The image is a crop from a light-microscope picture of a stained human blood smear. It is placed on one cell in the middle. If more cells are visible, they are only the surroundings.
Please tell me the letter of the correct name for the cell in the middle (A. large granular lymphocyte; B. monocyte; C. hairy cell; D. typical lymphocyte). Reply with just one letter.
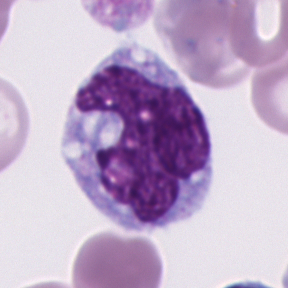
B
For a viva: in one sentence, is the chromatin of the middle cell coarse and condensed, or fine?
Its chromatin is finely dispersed rather than coarsely clumped.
